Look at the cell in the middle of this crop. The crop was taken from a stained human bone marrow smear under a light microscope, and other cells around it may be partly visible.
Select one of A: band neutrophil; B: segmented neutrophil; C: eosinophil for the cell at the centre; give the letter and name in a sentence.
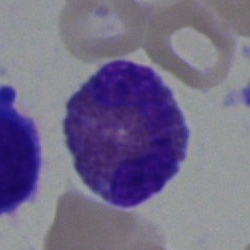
Option C holds up: the cell in the middle is an eosinophil.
